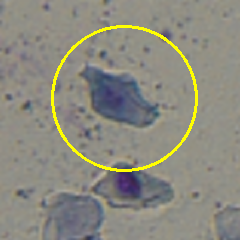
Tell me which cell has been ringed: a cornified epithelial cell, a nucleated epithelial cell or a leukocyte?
It is a nucleated epithelial cell.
